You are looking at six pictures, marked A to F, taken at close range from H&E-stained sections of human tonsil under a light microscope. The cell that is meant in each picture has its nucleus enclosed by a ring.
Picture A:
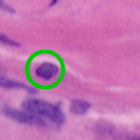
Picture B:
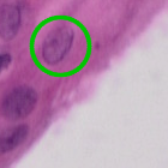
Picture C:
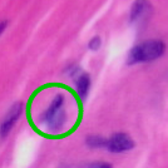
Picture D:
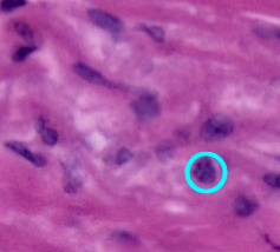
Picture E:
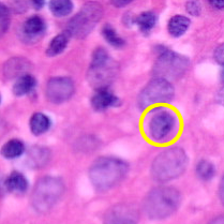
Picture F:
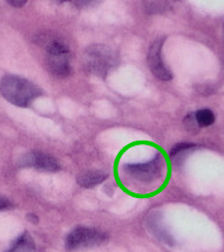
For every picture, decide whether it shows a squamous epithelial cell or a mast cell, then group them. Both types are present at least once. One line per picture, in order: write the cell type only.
mast cell
squamous epithelial cell
mast cell
mast cell
squamous epithelial cell
squamous epithelial cell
